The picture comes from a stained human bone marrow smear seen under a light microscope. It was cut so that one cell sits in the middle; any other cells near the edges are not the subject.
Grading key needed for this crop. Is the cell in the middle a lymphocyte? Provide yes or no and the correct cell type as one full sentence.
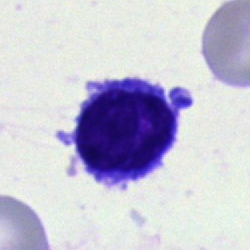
Yes, it is a lymphocyte that is seen at the centre of the crop.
